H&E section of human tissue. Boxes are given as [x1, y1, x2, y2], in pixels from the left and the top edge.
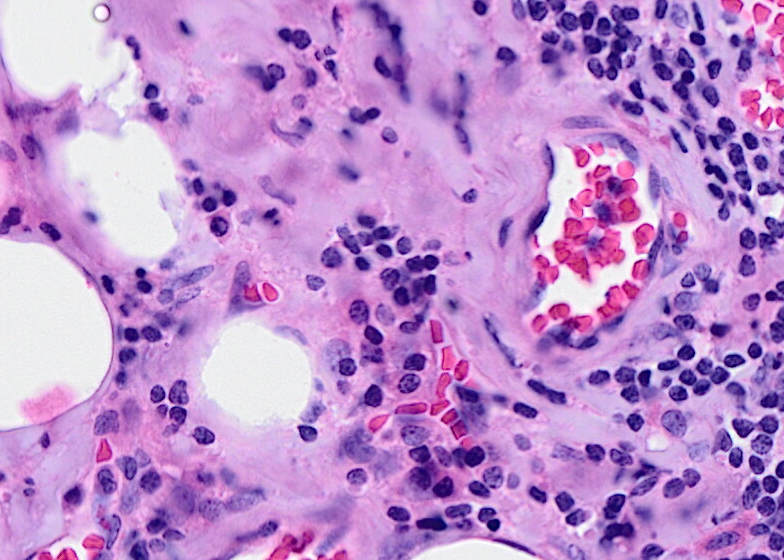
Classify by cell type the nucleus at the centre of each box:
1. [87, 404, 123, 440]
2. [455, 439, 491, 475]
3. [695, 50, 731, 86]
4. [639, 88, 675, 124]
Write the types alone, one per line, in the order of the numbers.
endothelial cell
lymphocyte
lymphocyte
lymphocyte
